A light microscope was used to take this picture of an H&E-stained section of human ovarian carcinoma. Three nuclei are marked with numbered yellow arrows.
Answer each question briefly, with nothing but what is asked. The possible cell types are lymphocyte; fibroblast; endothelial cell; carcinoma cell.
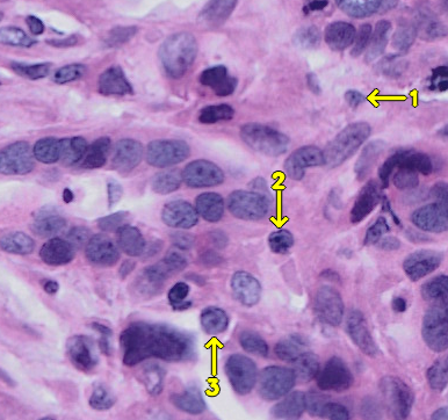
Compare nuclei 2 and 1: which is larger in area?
2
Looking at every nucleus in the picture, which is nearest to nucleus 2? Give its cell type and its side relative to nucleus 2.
a carcinoma cell; above and to the left of nucleus 2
